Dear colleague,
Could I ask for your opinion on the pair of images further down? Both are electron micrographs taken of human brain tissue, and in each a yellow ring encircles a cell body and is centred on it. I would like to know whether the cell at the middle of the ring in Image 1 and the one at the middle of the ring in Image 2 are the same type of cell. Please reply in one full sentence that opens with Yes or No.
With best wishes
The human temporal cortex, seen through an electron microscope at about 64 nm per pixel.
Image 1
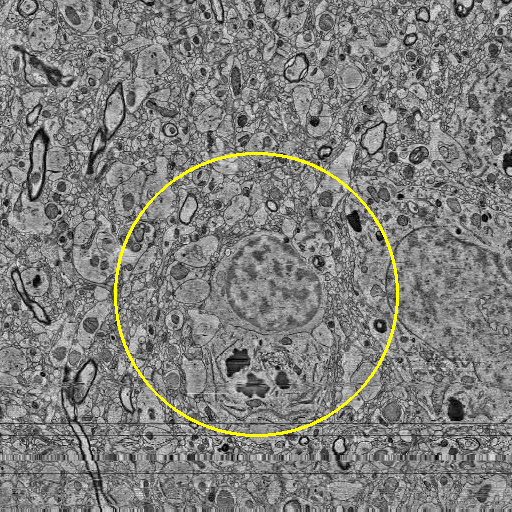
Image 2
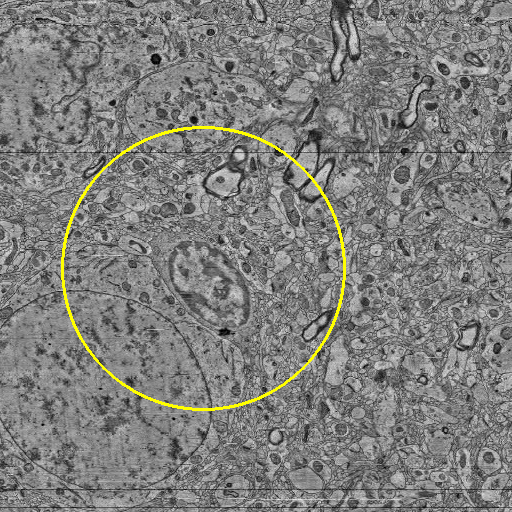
Yes, the cells at the ring centres in Image 1 and Image 2 are of one type.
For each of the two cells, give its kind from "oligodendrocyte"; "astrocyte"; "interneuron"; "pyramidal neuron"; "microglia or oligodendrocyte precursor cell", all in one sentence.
The ring centre holds an oligodendrocyte in each of the two pictures.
